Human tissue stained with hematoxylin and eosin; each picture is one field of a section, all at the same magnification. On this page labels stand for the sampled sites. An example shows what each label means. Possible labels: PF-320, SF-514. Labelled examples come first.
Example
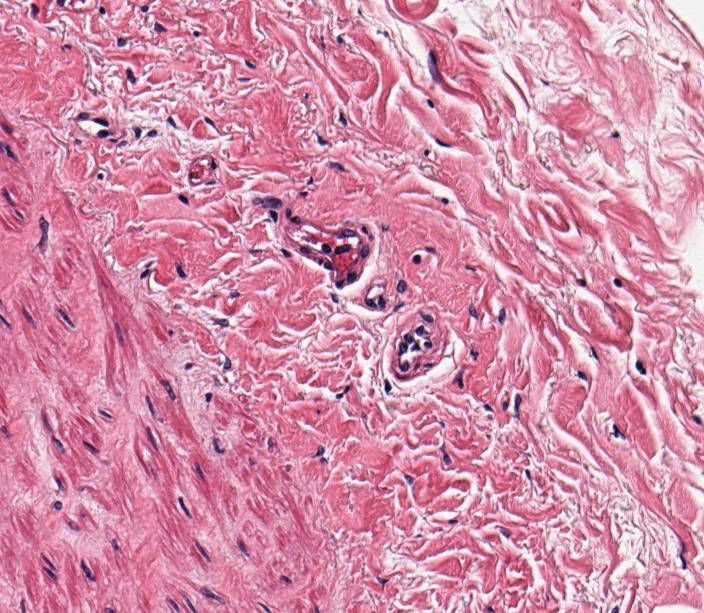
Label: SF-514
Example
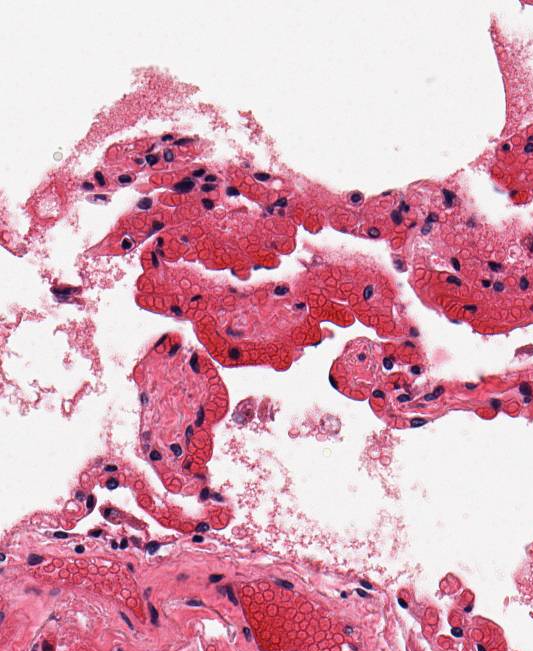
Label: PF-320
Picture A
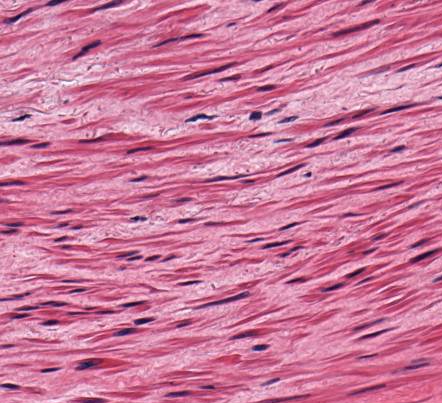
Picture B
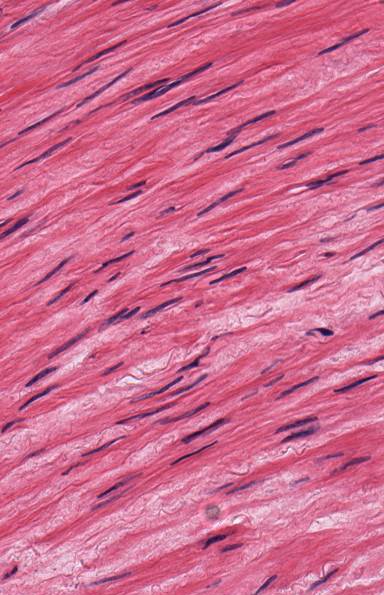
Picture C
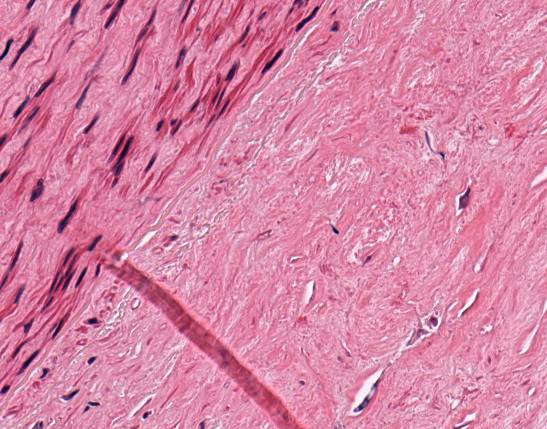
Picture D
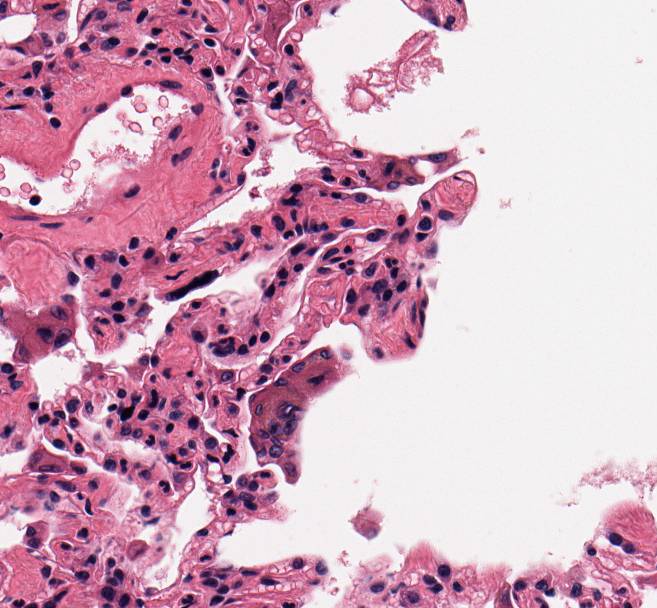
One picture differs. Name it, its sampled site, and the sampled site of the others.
D (PF-320) is the exception; every other picture is SF-514.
